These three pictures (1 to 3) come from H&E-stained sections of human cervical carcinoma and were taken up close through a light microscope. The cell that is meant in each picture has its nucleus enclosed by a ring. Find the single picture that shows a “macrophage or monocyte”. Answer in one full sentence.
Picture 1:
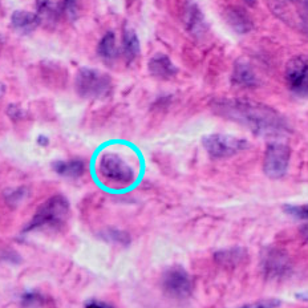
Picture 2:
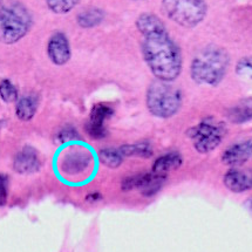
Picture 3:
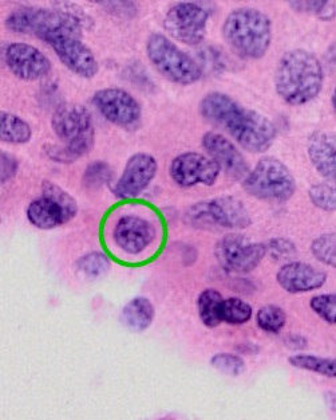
It is picture 1 that shows the “macrophage or monocyte”.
